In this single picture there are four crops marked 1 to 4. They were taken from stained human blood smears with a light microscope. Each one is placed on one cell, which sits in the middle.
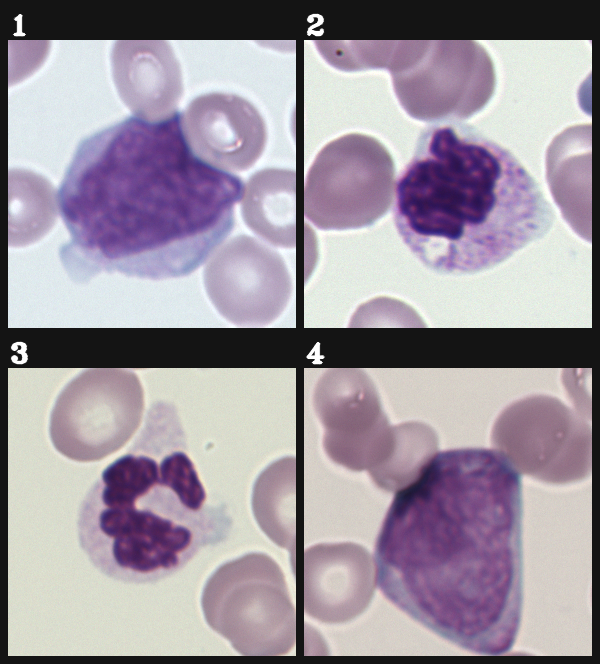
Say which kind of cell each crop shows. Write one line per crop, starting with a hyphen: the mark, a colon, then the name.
- 1: atypical promyelocyte
- 2: neutrophil
- 3: neutrophil
- 4: atypical promyelocyte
